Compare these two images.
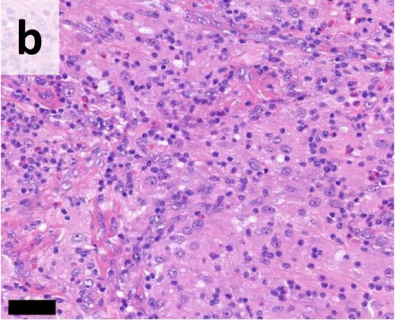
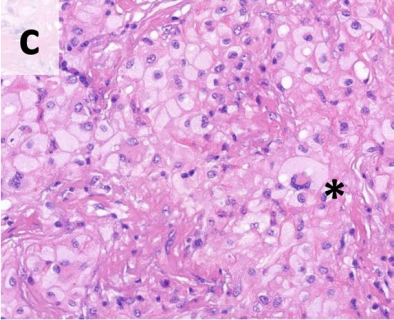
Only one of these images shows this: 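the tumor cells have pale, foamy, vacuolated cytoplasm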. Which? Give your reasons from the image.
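Second image: cells are large with pale, bubbly cytoplasm and sharp borders. First image: cells have dense pink cytoplasm without clear vacuolation, mixed with many small dark cells.
Conclusion: the second image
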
